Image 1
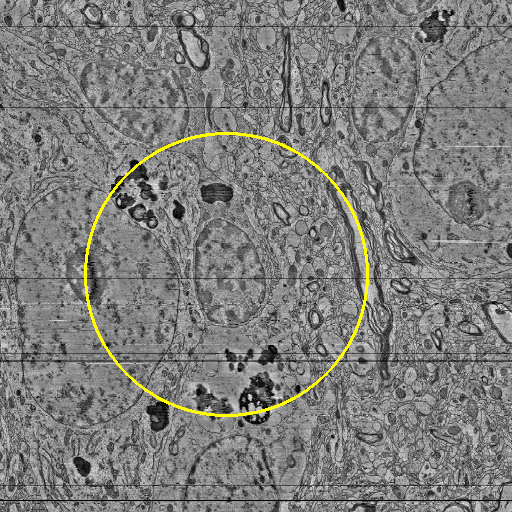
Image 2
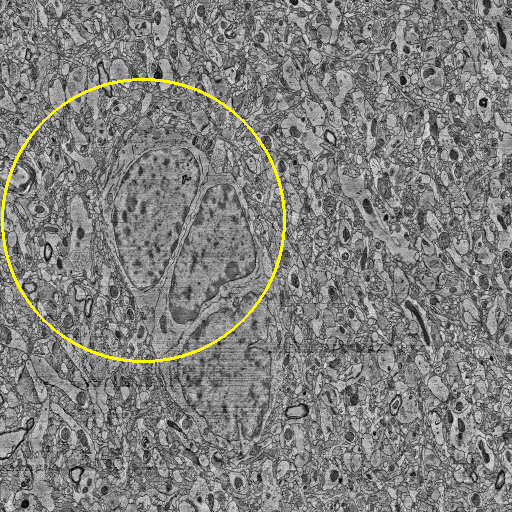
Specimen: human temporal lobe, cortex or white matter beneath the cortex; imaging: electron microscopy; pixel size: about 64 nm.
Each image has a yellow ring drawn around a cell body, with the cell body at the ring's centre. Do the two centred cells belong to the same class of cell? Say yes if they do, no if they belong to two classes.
no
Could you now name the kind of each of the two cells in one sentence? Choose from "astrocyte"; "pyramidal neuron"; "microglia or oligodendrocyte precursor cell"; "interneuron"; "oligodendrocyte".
The first ring encloses an oligodendrocyte; the second ring encloses a microglial cell or oligodendrocyte precursor cell.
